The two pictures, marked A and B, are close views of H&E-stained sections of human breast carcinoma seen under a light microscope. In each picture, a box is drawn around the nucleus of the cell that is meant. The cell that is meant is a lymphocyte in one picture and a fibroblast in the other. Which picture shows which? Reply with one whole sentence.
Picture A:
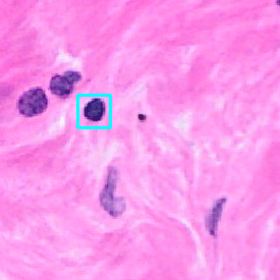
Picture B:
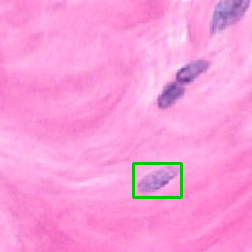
It is picture A that shows a lymphocyte, and picture B that shows a fibroblast.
